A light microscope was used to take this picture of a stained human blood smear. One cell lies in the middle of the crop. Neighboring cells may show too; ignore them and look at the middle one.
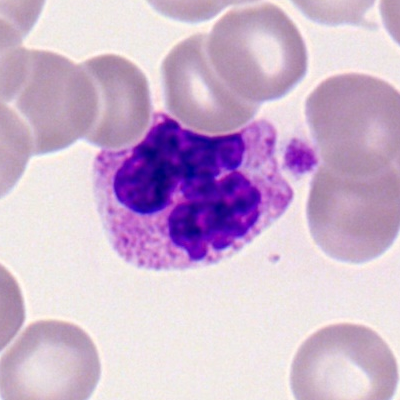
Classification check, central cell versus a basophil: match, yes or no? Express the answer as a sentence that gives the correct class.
Yes, the cell in the center of the field is a basophil.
